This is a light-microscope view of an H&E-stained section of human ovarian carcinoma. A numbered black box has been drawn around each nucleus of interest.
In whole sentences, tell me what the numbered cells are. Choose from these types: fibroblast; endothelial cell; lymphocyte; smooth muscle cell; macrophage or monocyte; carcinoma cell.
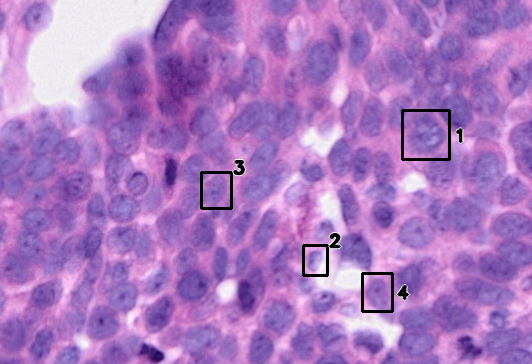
Cells 1, 3 and 4 are carcinoma cells. Cell 2 is a macrophage or monocyte.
